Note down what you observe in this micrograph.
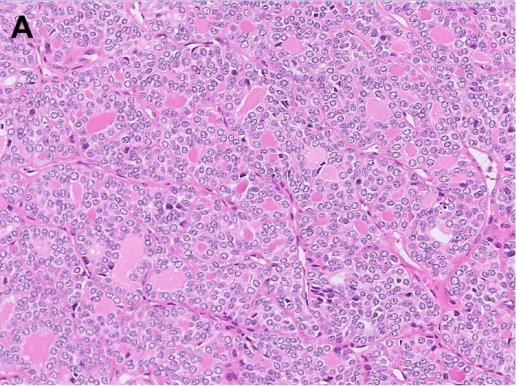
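This is a thyroid tumor built of crowded small follicles lined by epithelial cells. Many follicles hold pink colloid, some only small droplets, others larger rounded pools. The cells have round nuclei with fine chromatin and modest pink cytoplasm, and they pack into nests separated by thin fibrovascular septa. The pattern is densely cellular and microfollicular rather than like normal thyroid with large colloid-filled follicles.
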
